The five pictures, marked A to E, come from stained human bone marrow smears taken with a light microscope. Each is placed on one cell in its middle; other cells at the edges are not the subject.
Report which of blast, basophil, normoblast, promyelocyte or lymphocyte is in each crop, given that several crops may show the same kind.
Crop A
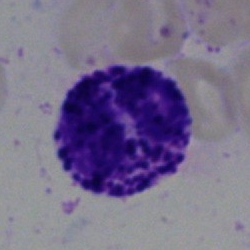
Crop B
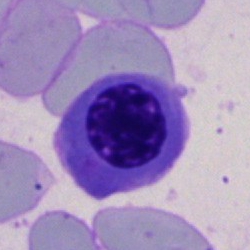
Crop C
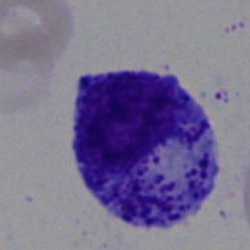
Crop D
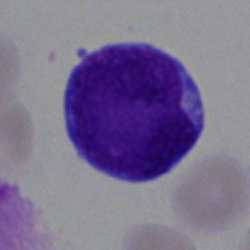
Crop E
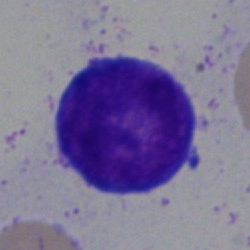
A: basophil
B: normoblast
C: promyelocyte
D: blast
E: blast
